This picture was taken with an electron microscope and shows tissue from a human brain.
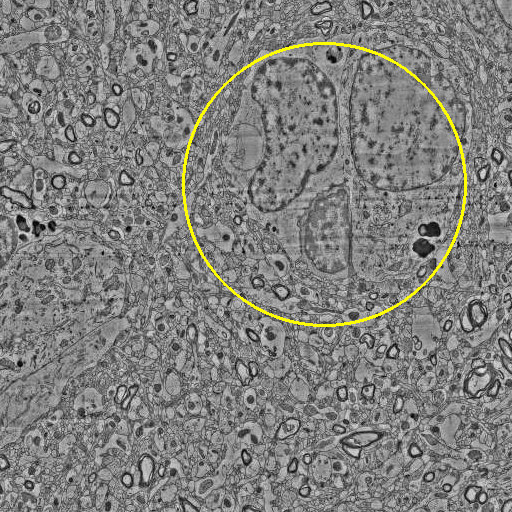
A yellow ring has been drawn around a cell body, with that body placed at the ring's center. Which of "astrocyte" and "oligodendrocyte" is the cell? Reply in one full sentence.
In this picture, an oligodendrocyte is the cell at the center of the yellow ring.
